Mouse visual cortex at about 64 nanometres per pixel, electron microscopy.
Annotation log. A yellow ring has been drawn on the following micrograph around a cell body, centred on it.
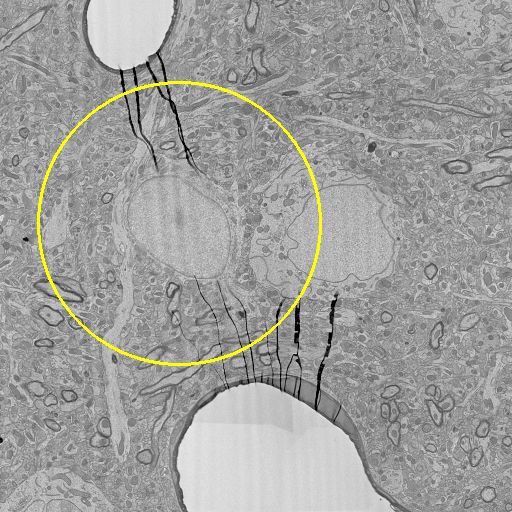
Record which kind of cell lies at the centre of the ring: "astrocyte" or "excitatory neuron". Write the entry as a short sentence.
The cell the ring is centred on is an astrocyte.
